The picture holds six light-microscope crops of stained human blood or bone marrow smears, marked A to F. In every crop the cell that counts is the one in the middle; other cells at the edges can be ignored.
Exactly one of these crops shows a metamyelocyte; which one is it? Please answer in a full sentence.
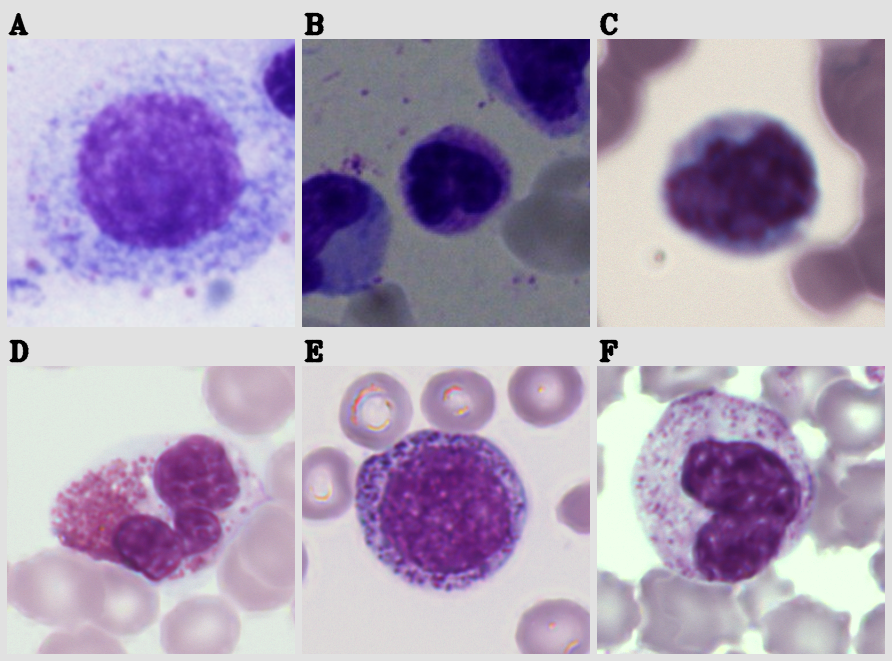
Crop F is the one in the set with a metamyelocyte at the center.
